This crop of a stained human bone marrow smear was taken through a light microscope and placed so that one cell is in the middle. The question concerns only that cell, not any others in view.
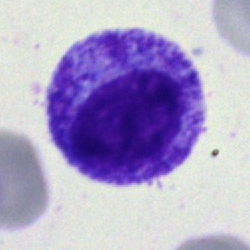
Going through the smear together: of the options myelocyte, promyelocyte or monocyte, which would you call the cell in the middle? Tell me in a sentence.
Within this crop, a myelocyte occupies the central position.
